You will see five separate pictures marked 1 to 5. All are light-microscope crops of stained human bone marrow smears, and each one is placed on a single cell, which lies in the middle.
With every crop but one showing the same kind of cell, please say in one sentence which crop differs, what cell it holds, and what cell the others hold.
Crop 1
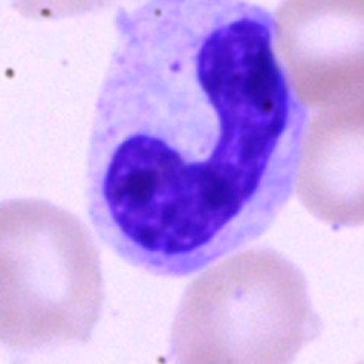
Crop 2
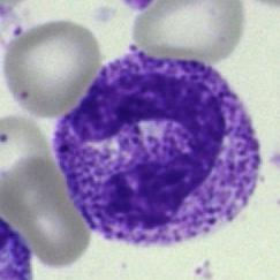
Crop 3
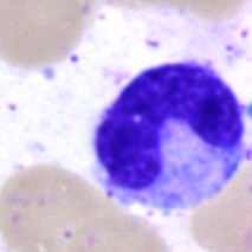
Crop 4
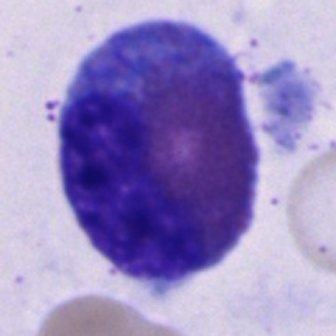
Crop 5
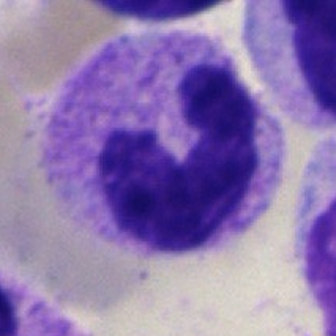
The different one is crop 4, which is an eosinophil; the rest all show band neutrophils.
